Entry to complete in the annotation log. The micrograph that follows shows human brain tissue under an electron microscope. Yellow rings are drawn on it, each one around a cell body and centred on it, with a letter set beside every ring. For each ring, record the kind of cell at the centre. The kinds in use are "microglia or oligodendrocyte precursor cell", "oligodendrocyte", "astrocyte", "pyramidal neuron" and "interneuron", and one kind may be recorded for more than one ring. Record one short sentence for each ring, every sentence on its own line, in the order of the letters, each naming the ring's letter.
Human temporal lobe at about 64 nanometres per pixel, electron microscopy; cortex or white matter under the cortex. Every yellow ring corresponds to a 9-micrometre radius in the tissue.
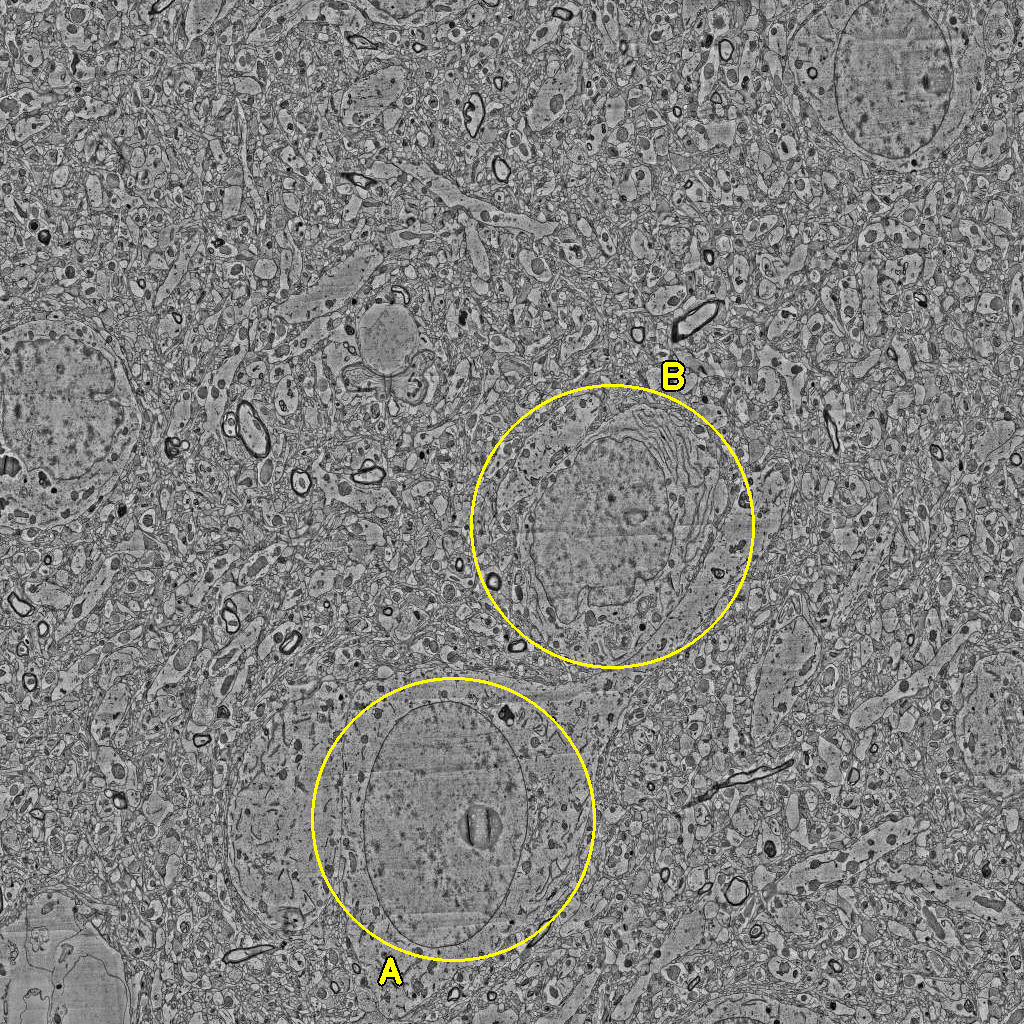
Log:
Ring A is placed around a pyramidal neuron.
Ring B is placed around an interneuron.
